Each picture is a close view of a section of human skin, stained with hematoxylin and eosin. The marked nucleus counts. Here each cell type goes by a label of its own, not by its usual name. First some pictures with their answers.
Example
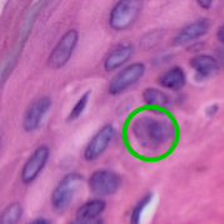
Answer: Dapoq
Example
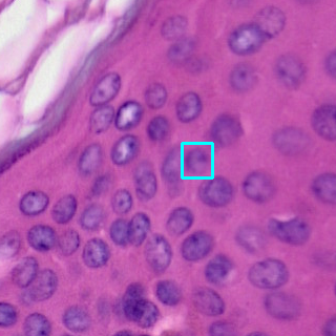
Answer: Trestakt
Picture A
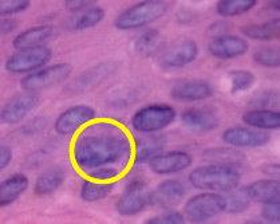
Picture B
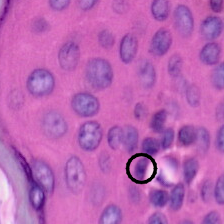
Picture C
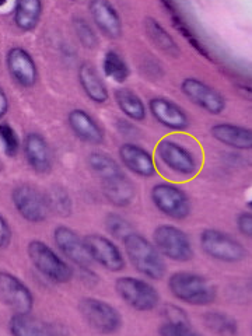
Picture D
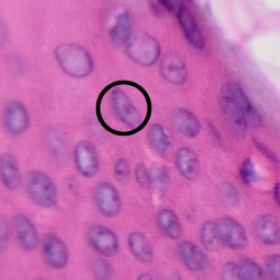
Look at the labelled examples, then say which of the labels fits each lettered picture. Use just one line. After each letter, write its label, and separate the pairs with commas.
A Dapoq, B Dapoq, C Trestakt, D Trestakt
